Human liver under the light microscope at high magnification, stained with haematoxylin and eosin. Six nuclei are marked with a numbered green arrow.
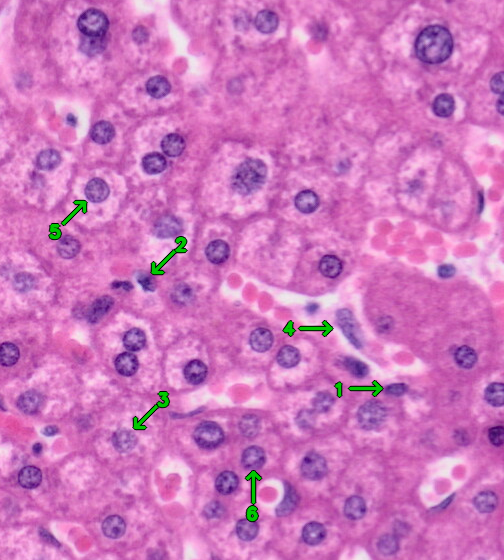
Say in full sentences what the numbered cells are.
Cell 1 is a fibroblast or stellate cell, cell 2 is an endothelial cell, cell 3 is a hepatocyte, cell 4 is a Kupffer cell, cell 5 is a hepatocyte and cell 6 is a hepatocyte.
